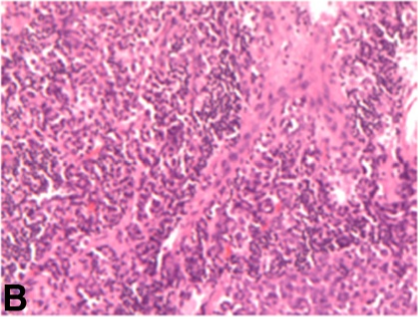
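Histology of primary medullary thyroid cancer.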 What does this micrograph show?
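This is a densely cellular tumor made of sheets and nests of small cells. The nuclei are round to oval and darkly stained, crowded closely together with little pink cytoplasm between them. Thin pink fibrous septa with small vessels run through the sheets and divide them into lobules. Small clefts and gaps appear between groups of cells, and no normal glandular structure is left in the field.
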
